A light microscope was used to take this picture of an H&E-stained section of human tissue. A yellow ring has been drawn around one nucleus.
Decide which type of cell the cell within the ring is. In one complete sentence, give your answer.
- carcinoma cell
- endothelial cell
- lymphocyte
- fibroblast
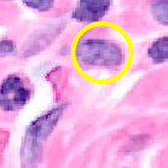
Histopathologically, the cell within the ring is an endothelial cell.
